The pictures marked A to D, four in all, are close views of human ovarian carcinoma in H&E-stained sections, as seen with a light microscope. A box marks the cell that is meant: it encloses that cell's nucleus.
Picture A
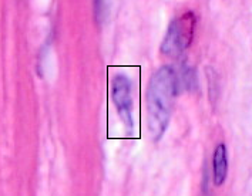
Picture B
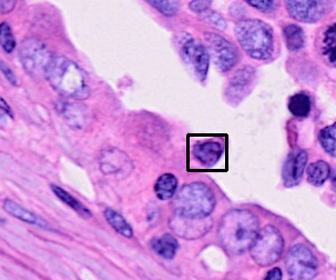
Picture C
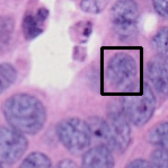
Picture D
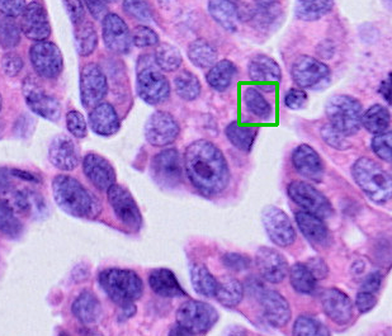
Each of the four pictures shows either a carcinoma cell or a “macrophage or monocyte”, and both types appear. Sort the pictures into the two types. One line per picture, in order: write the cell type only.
macrophage or monocyte
macrophage or monocyte
carcinoma cell
carcinoma cell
